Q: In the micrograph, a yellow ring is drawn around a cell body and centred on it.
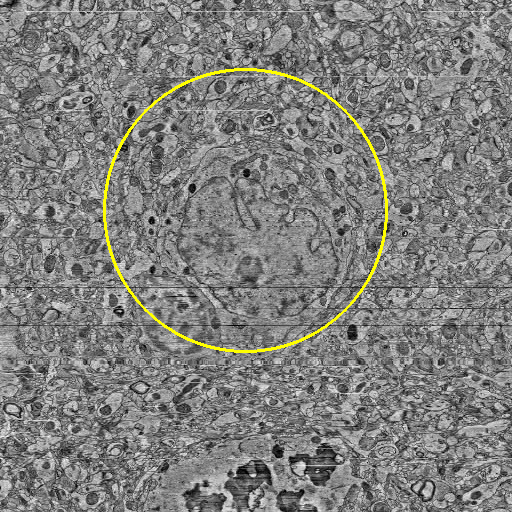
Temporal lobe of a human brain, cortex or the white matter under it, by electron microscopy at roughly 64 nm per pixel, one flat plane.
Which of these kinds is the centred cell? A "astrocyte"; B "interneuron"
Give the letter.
B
